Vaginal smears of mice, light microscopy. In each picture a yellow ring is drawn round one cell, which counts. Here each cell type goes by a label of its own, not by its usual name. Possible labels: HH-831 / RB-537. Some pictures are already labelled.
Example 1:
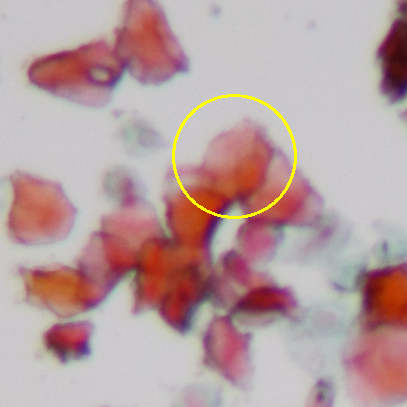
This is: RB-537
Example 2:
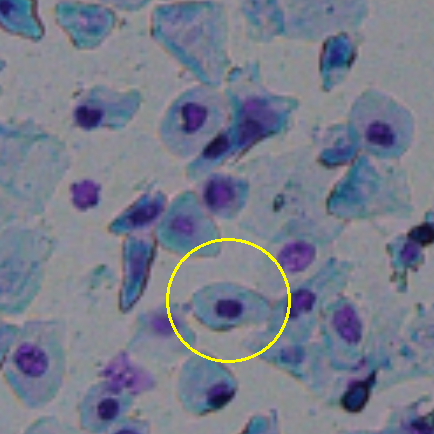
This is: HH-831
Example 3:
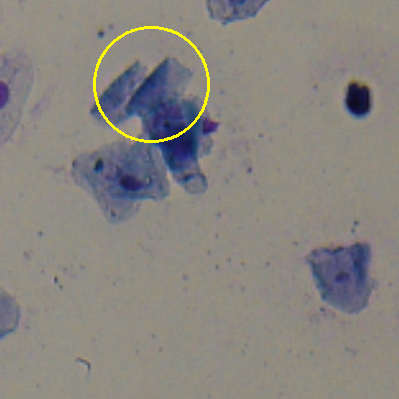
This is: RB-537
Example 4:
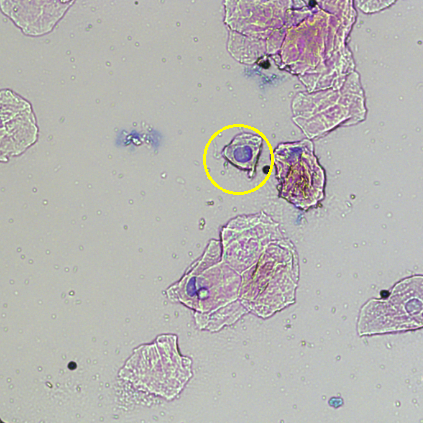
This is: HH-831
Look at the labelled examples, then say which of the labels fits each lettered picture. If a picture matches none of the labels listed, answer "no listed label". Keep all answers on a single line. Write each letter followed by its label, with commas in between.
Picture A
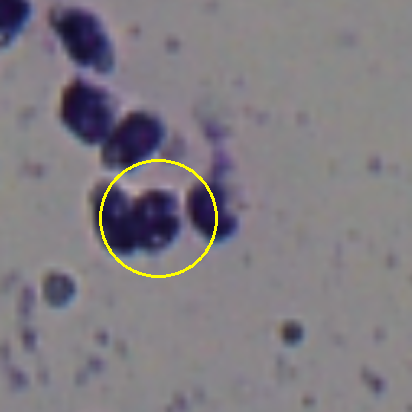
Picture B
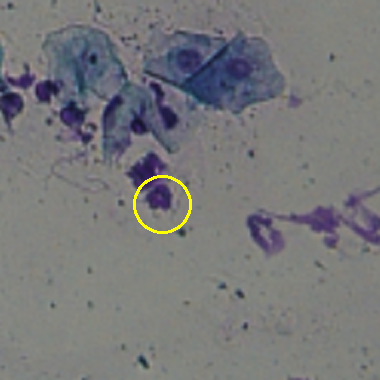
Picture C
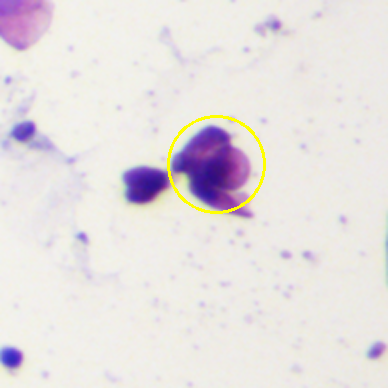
A no listed label, B no listed label, C HH-831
